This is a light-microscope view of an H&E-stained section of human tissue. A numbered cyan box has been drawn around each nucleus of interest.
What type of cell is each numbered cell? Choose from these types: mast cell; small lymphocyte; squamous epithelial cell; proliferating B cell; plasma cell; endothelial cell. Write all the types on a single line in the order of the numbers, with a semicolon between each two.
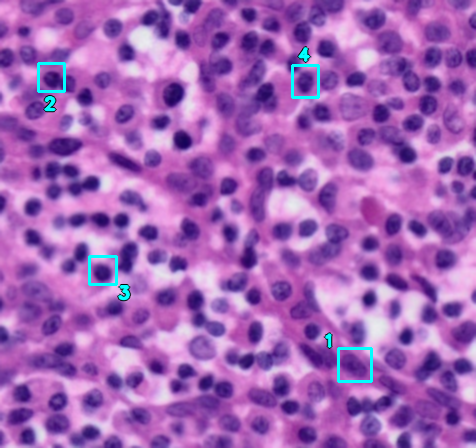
squamous epithelial cell; plasma cell; plasma cell; plasma cell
